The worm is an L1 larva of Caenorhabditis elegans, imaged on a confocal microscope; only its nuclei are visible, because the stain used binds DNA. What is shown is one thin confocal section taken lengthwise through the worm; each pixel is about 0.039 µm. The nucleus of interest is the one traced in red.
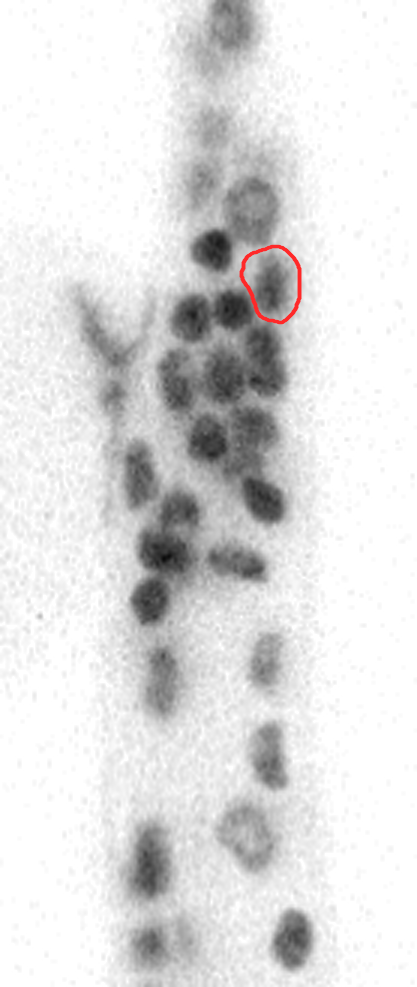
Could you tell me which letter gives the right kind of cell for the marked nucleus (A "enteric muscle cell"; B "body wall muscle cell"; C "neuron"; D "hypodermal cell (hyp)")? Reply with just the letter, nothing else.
B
